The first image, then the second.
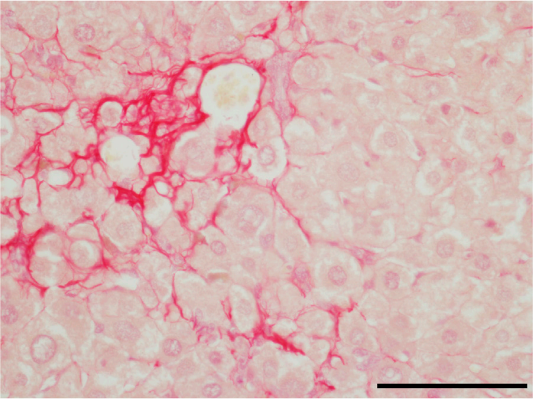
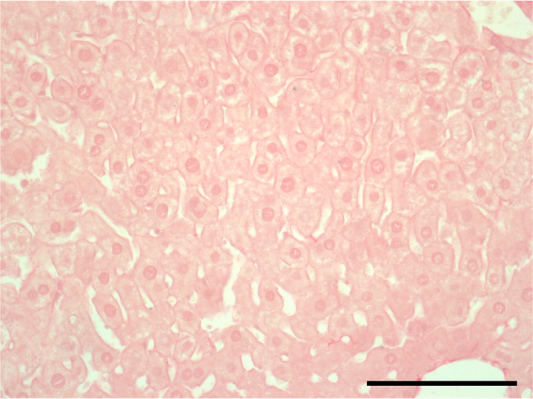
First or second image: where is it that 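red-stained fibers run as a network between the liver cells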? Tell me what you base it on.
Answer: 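The first image. First image: dense bright red strands around vessels and thin red fibers branching between cells. Second image: uniformly pale pink tissue with no bright red strands.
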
